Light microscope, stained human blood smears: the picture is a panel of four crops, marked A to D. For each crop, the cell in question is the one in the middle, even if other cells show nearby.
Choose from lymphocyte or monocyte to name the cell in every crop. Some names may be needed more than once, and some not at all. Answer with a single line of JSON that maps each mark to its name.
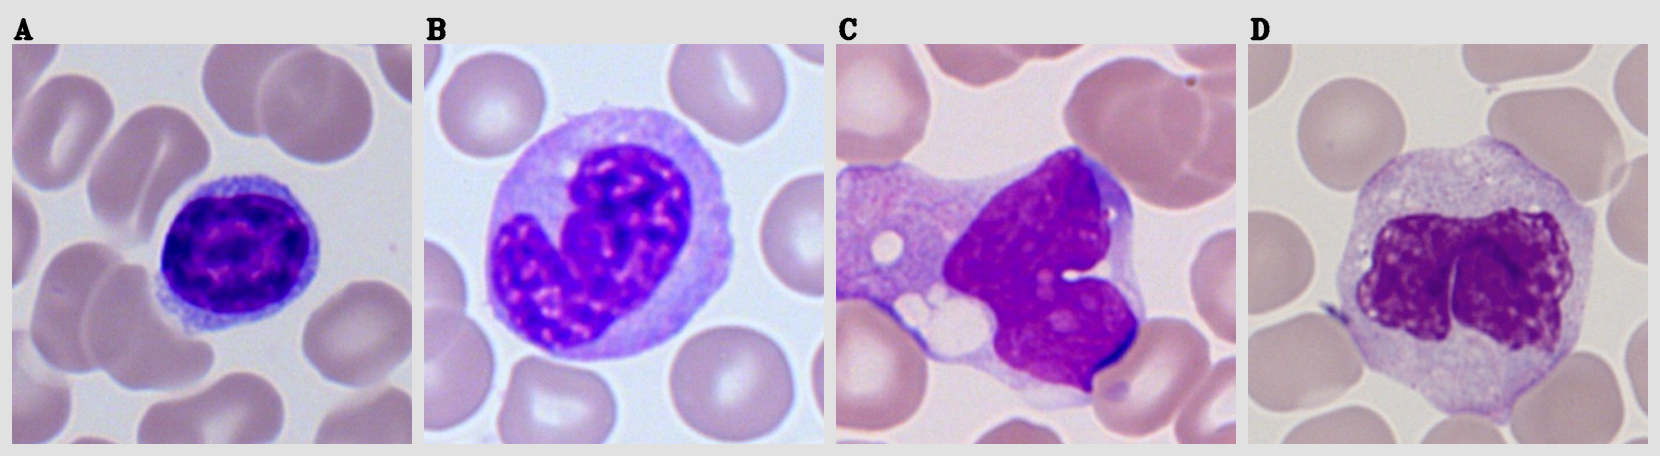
{"A": "lymphocyte", "B": "monocyte", "C": "monocyte", "D": "monocyte"}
